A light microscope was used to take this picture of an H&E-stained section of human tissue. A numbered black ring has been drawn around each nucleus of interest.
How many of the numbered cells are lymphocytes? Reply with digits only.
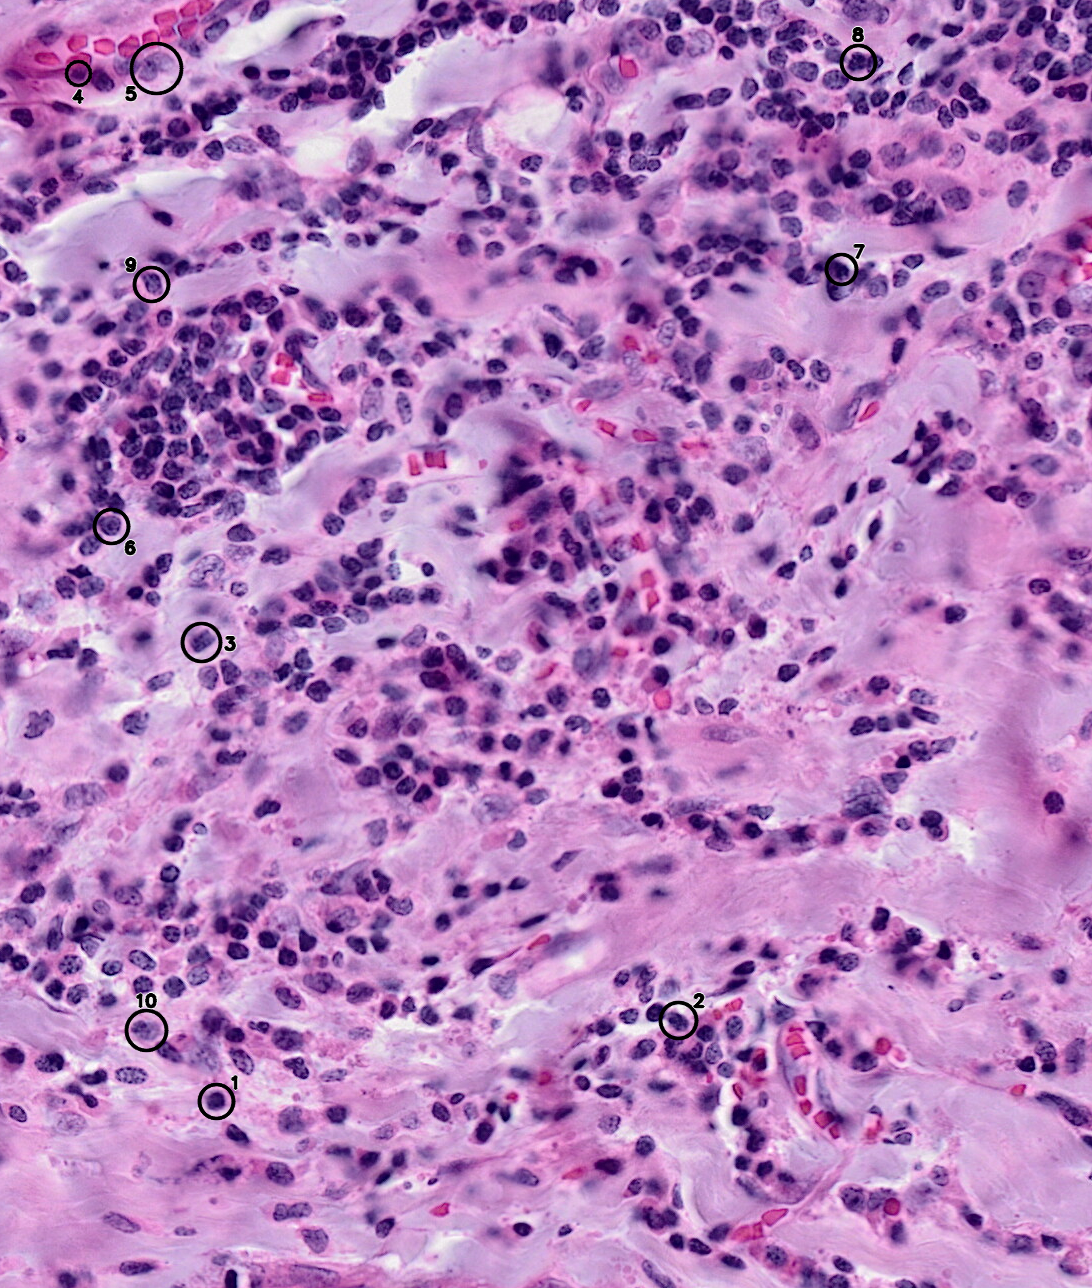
6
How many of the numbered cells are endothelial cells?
2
